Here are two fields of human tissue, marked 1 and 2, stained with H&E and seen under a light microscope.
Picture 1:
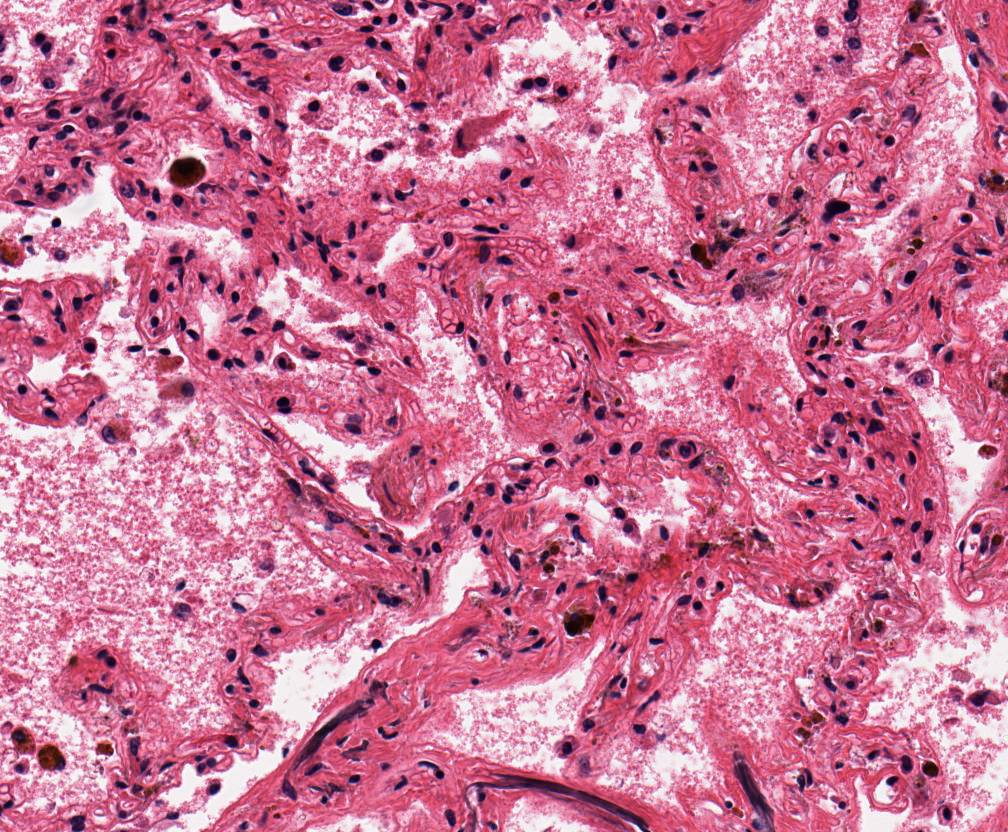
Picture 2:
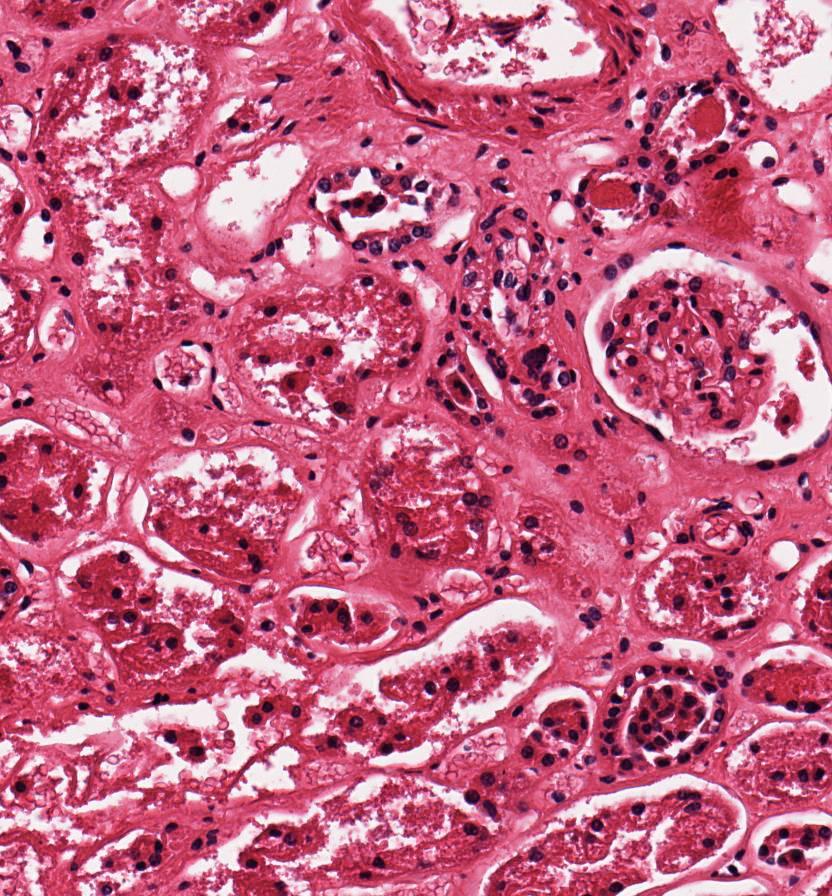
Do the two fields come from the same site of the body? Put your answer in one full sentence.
No: picture 1 comes from the lung, but picture 2 comes from the renal cortex.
